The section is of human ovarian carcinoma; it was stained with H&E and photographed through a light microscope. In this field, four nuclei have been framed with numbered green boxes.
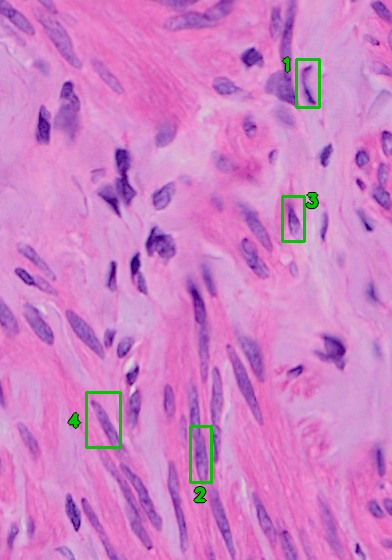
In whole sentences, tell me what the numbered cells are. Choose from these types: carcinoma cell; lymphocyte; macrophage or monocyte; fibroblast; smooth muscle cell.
Cell 1 is a fibroblast. Cells 2, 3 and 4 are smooth muscle cells.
